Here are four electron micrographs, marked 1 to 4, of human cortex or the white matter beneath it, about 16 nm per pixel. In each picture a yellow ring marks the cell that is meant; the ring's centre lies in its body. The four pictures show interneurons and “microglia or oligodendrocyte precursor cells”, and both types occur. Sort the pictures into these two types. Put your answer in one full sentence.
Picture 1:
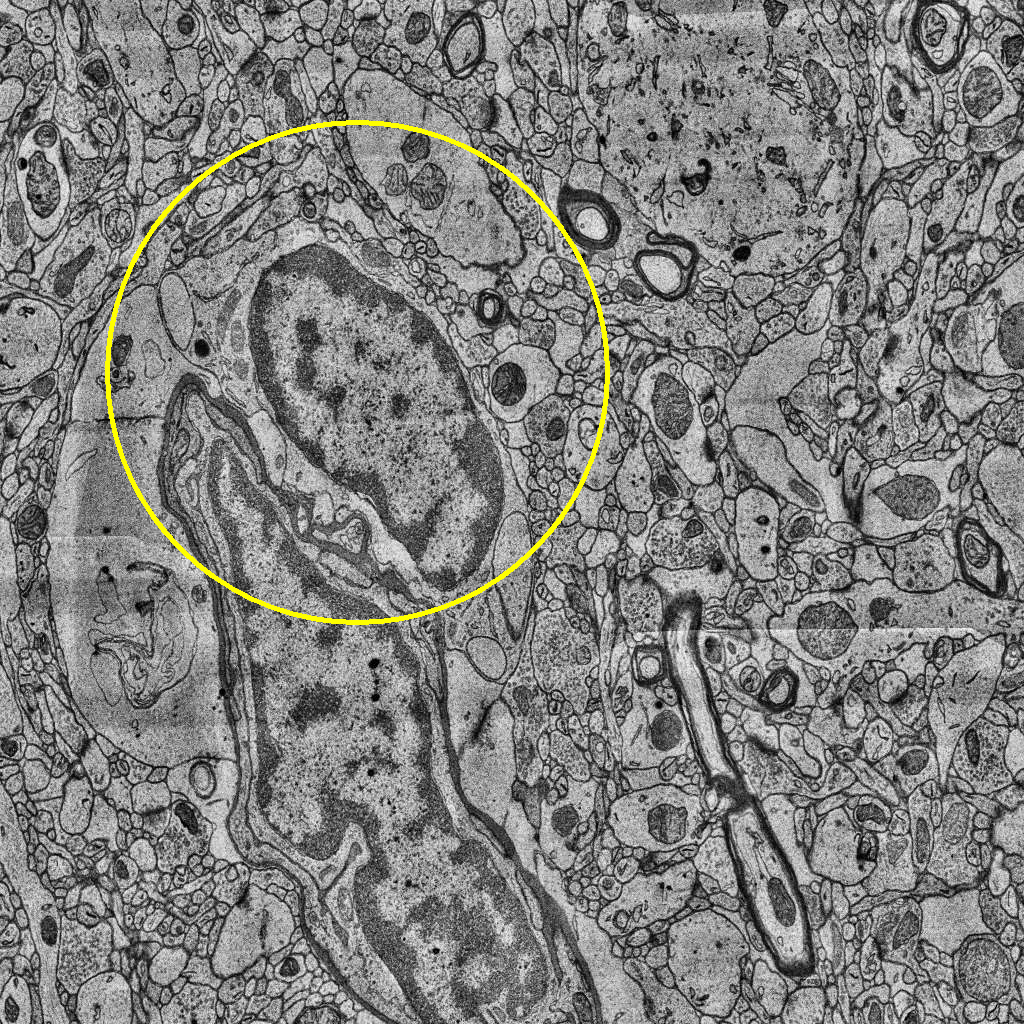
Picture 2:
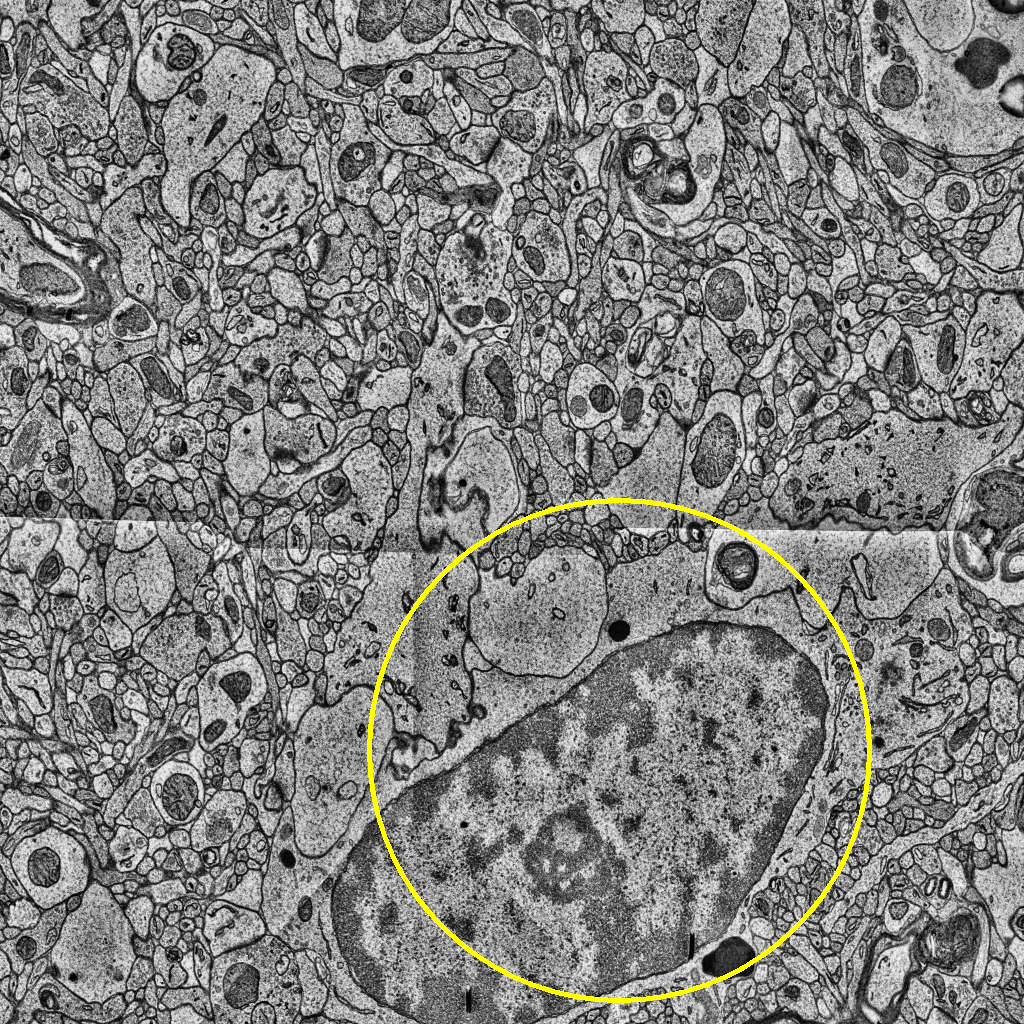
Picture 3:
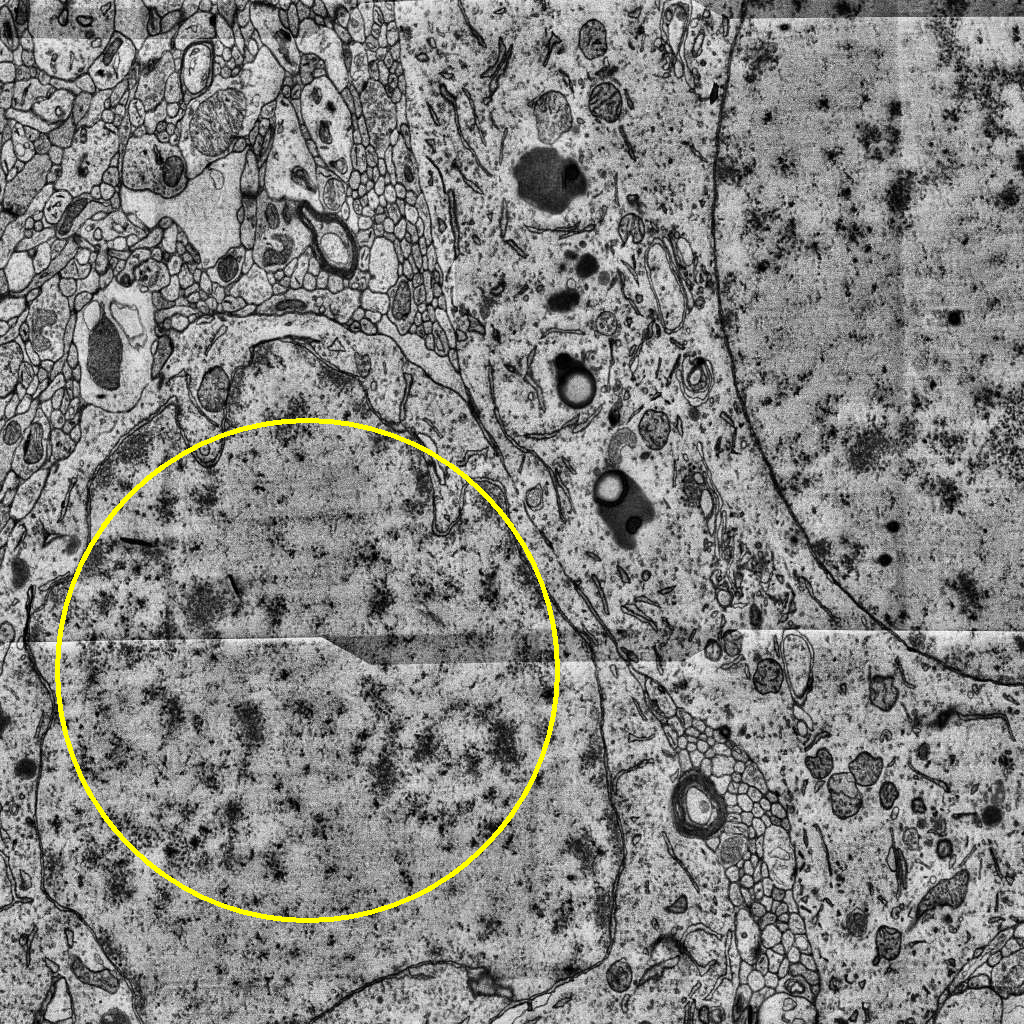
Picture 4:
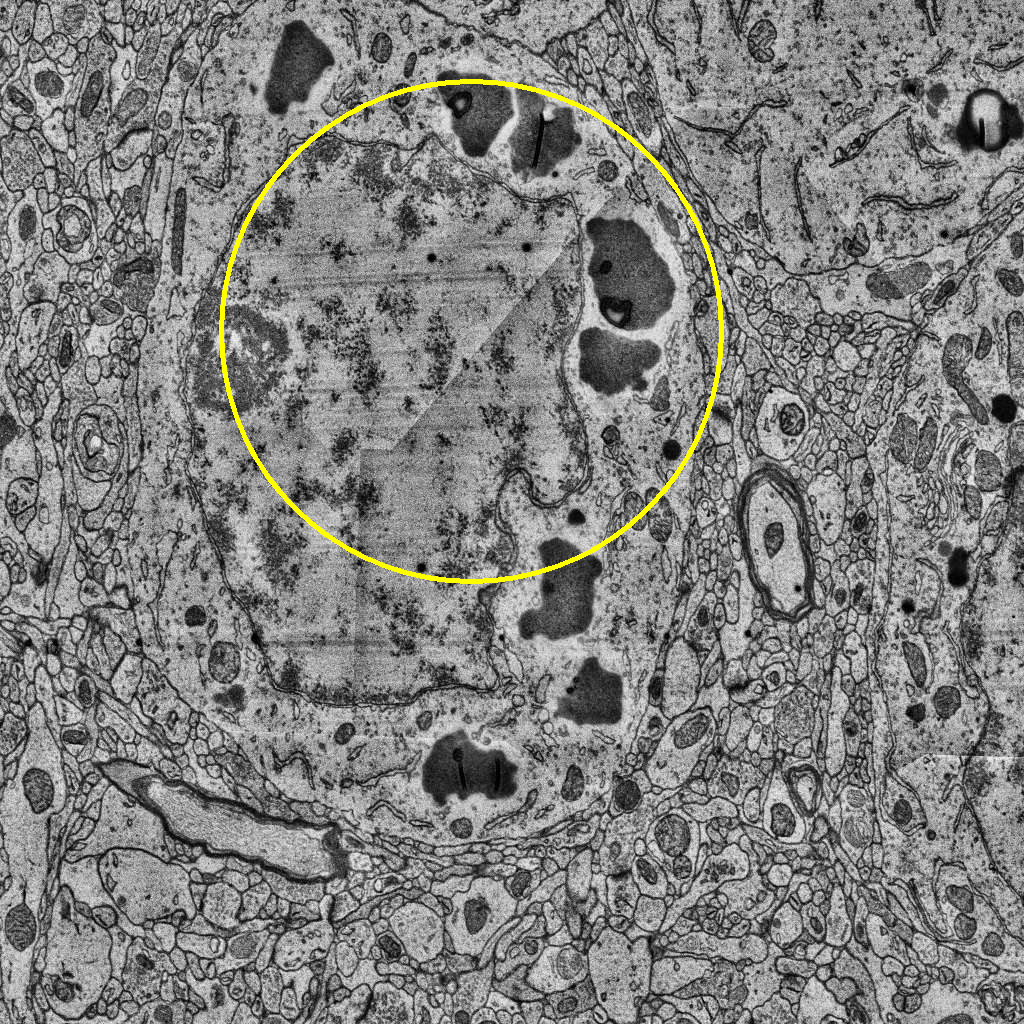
Pictures 3 and 4 show interneurons; pictures 1 and 2 show “microglia or oligodendrocyte precursor cells”.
